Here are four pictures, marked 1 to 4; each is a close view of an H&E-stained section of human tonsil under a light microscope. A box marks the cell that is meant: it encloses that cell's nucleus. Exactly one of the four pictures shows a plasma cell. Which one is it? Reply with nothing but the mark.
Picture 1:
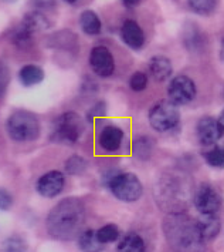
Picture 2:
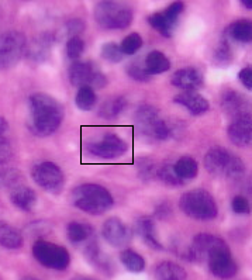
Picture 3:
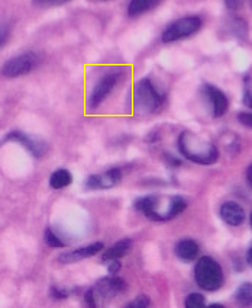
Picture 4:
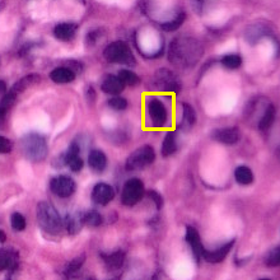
1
